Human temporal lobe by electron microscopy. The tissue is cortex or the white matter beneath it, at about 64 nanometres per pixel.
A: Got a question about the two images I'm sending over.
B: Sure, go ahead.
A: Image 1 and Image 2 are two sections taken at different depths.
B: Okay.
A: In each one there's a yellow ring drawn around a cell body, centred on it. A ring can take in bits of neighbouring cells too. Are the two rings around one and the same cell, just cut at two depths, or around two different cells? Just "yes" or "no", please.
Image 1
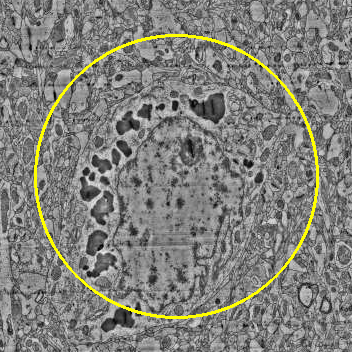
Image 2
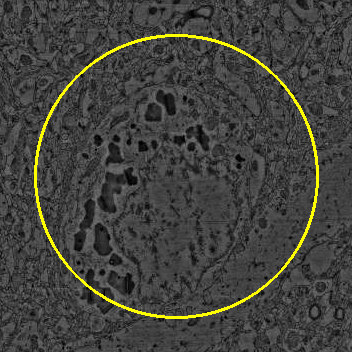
yes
